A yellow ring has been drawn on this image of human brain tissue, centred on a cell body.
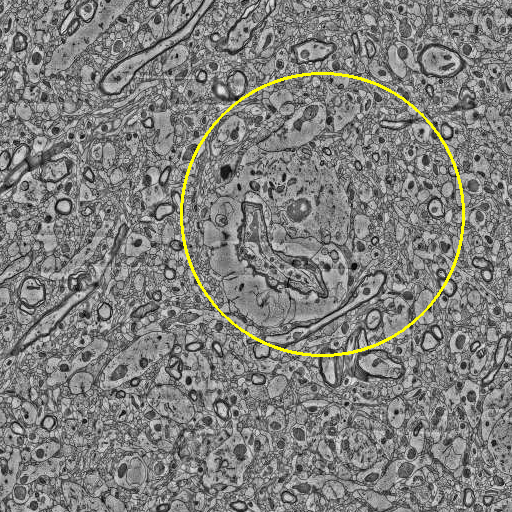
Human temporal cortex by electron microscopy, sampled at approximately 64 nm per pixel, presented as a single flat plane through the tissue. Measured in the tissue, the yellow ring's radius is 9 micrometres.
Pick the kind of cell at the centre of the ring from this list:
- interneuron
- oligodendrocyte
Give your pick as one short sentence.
The centre of the ring holds an oligodendrocyte.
